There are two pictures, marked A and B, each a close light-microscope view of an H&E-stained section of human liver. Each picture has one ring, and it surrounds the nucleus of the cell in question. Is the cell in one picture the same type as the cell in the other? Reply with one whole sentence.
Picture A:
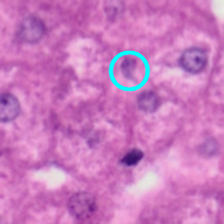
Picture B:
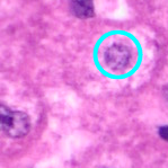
No, they differ: the cell is an endothelial cell in picture A and a hepatocyte in picture B.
